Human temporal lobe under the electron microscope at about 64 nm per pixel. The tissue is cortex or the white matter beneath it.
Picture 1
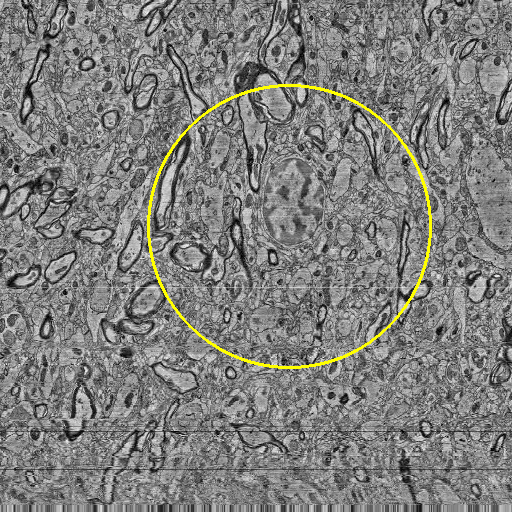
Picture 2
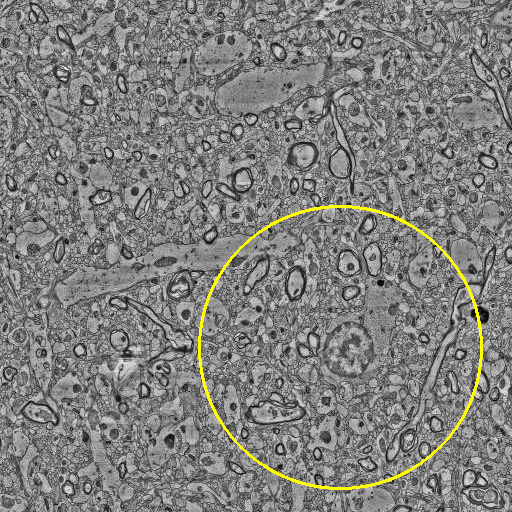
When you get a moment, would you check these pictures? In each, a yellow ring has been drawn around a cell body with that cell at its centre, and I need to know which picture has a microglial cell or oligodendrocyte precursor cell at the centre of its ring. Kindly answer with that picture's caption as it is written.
Picture 1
